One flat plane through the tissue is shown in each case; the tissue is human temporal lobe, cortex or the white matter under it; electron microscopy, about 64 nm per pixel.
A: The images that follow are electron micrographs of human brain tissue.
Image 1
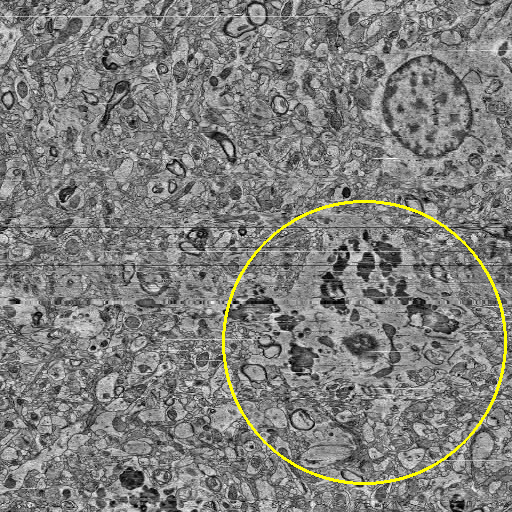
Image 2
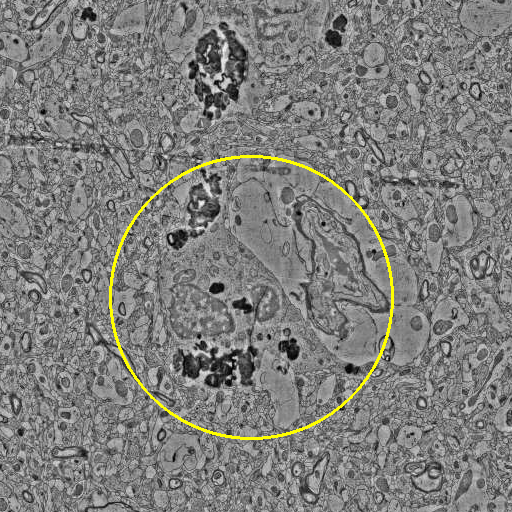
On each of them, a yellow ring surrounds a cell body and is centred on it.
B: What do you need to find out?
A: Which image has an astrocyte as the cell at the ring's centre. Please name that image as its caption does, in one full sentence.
Image 1 is the one whose ring has the sought cell at its centre.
